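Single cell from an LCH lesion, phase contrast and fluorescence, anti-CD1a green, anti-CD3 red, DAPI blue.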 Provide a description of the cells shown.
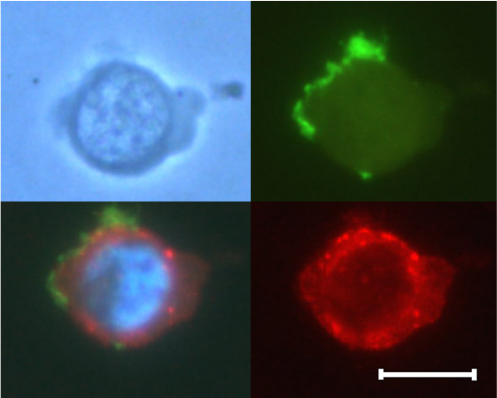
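A large round nucleus fills most of the cell, leaving only a thin rim of cytoplasm, with a small protrusion on one side. The red outlines the whole cell surface as a ring, while the green sits in patches along one part of the edge.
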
